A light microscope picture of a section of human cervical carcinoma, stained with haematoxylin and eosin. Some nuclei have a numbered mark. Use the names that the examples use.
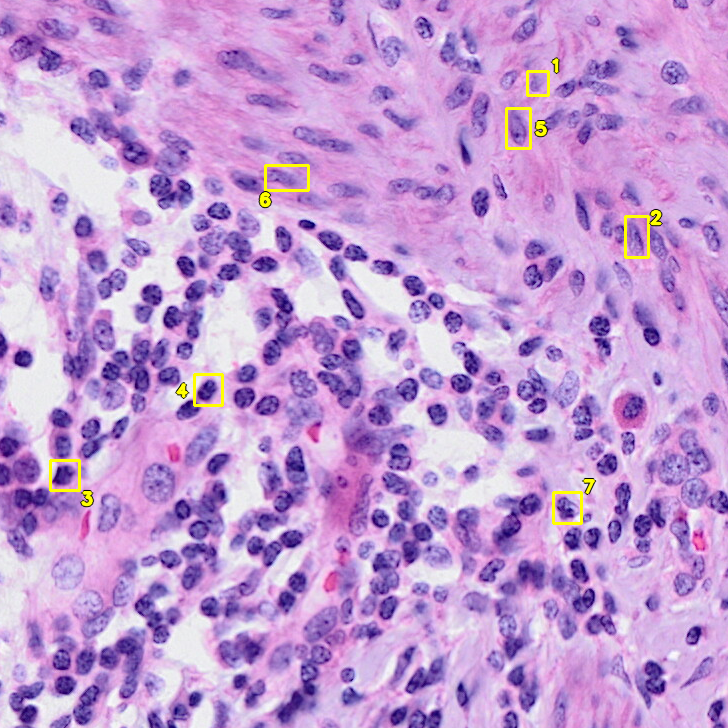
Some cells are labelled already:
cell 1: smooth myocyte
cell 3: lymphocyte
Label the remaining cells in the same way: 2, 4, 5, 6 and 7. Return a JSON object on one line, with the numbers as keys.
{"2": "smooth myocyte", "4": "lymphocyte", "5": "smooth myocyte", "6": "smooth myocyte", "7": "lymphocyte"}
